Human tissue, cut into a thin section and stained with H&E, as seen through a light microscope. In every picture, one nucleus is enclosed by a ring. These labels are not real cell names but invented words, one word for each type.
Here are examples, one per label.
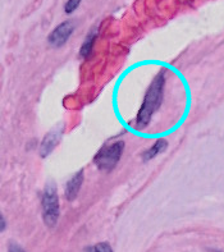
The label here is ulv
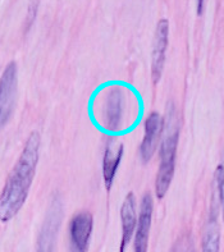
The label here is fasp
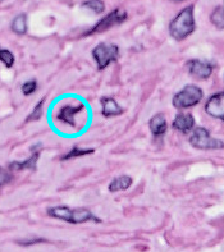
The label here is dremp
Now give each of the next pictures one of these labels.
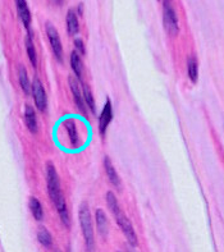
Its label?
fasp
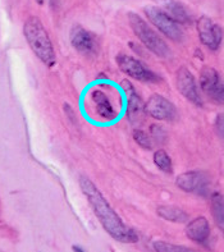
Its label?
fasp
